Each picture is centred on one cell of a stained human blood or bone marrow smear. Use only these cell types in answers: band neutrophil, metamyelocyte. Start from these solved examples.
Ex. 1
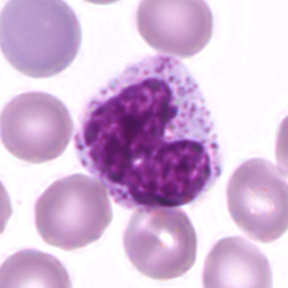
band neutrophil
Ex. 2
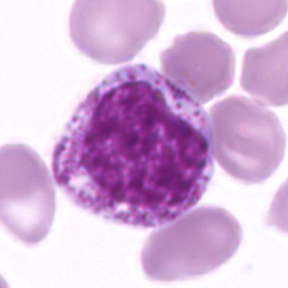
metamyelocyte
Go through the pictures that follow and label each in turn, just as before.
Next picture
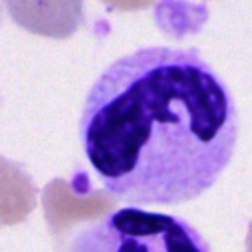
band neutrophil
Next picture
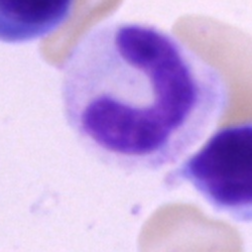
band neutrophil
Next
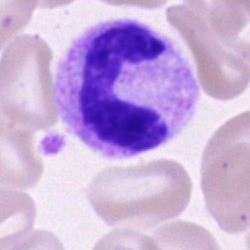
band neutrophil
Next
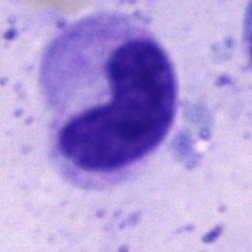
metamyelocyte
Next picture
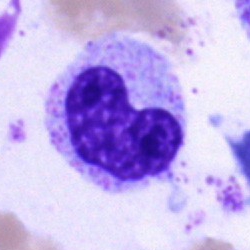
metamyelocyte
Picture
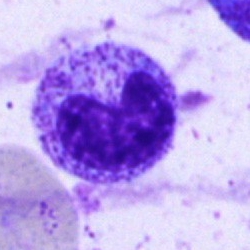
metamyelocyte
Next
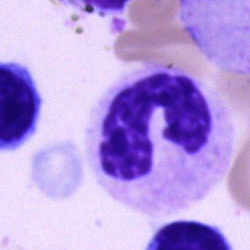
band neutrophil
